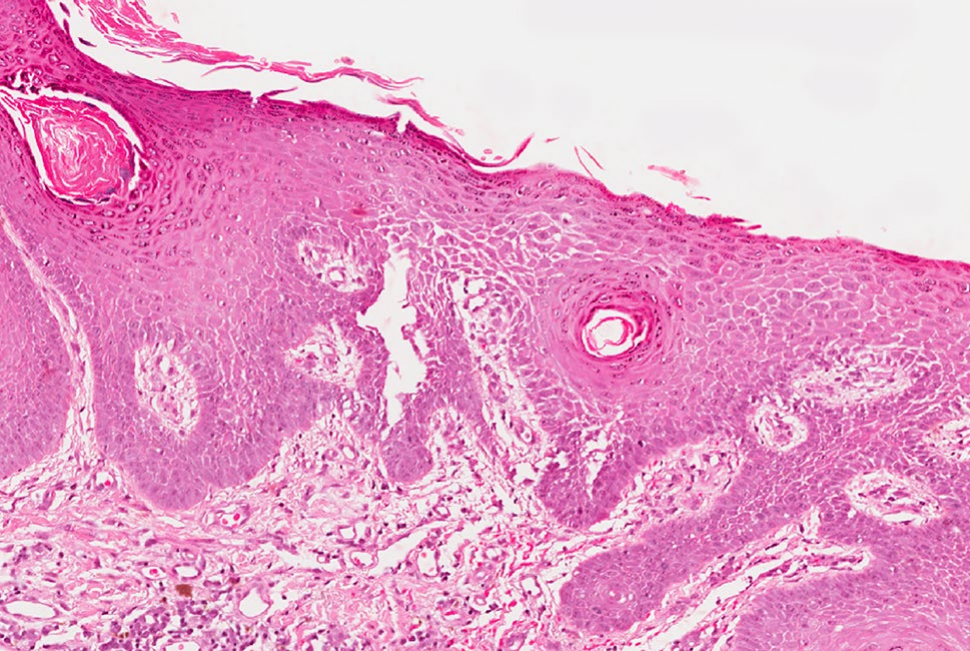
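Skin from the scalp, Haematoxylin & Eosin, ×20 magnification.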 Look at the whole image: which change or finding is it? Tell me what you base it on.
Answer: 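A slit-like cleft lies within the epidermis rather than beneath it. The superficial layers are lifting and flaking away from the surface. Keratinocytes near the upper layers look loosened from one another.
Acantholysis.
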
